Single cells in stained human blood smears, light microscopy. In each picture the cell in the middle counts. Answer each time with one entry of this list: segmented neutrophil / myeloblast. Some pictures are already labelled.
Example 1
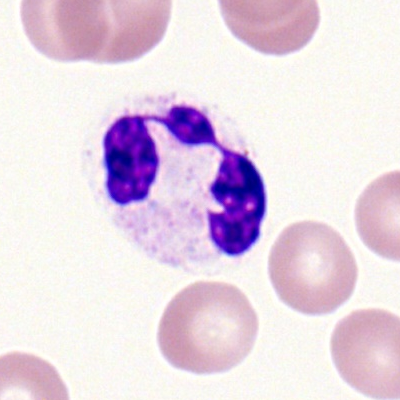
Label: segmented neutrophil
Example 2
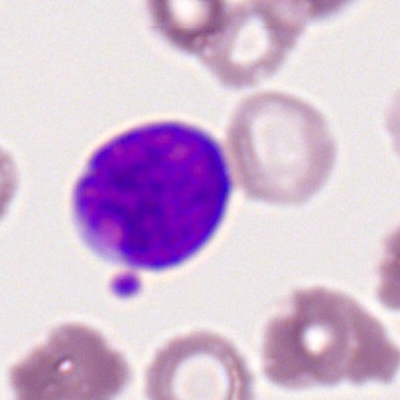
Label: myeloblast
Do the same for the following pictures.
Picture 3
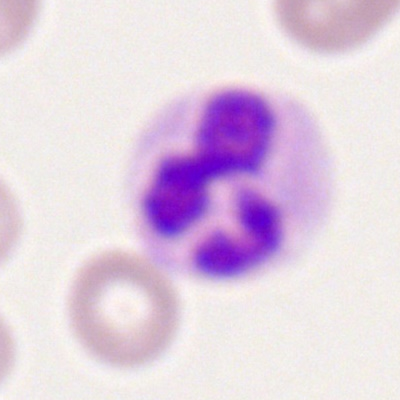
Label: segmented neutrophil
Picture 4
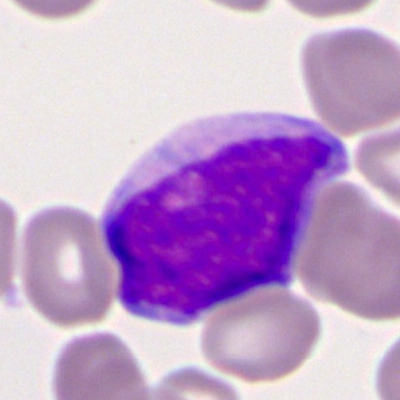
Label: myeloblast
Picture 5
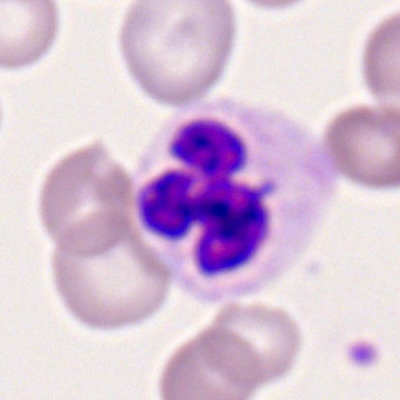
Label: segmented neutrophil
